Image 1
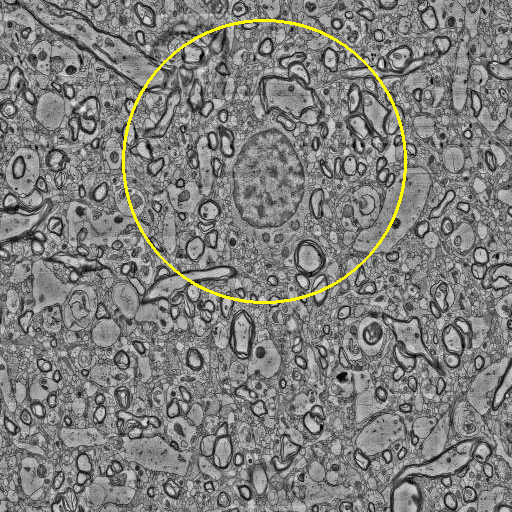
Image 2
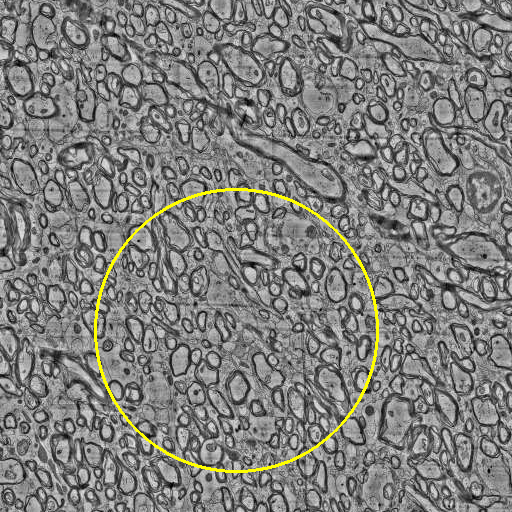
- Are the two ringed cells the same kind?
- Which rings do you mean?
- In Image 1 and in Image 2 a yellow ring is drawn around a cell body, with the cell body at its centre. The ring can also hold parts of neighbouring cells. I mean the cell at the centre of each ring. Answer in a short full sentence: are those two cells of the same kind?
Yes, both cells are of the same kind.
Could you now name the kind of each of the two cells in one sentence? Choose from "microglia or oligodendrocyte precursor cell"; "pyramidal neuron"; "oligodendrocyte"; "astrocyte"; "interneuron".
Each of the two rings surrounds an oligodendrocyte.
